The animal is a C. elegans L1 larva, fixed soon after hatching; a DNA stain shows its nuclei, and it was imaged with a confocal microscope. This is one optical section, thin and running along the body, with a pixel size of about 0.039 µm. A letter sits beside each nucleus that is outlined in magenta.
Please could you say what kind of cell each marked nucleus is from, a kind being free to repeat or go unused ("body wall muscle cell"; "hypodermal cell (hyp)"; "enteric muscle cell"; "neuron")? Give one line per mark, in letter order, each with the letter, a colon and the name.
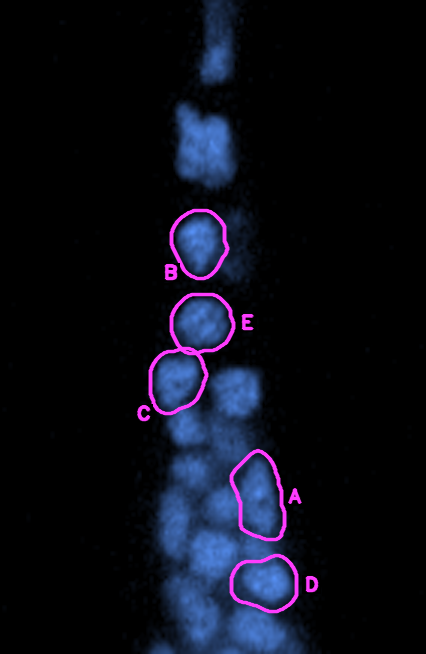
A: body wall muscle cell
B: hypodermal cell (hyp)
C: hypodermal cell (hyp)
D: enteric muscle cell
E: hypodermal cell (hyp)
